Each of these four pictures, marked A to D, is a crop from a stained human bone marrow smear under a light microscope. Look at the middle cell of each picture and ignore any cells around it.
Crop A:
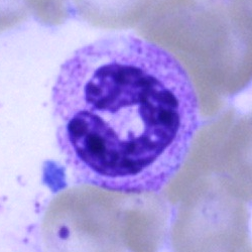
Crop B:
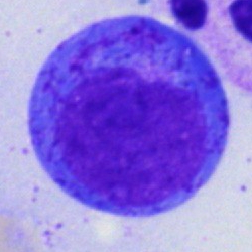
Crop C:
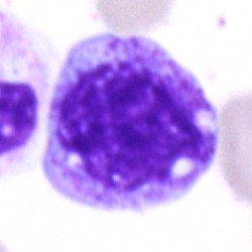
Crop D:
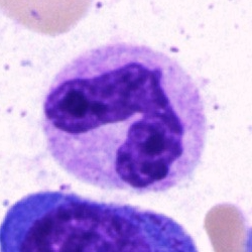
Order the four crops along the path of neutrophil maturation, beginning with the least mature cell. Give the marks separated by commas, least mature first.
B, C, D, A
